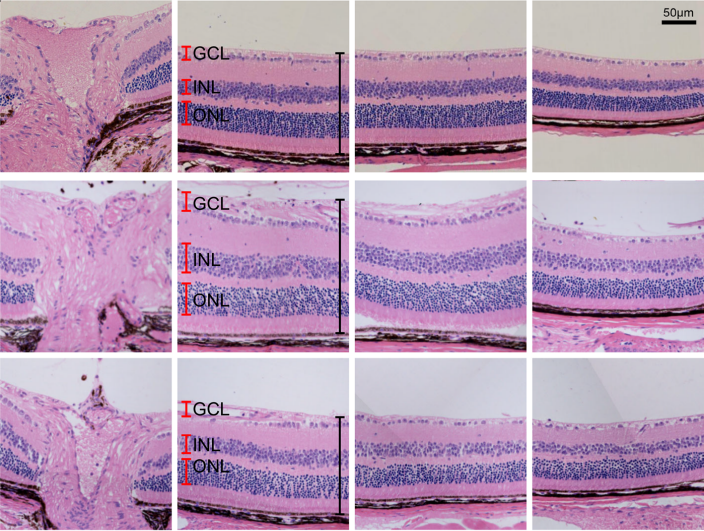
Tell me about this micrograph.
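These are cross sections of the retina. Near the optic disc, the pale pink fibres of the nerve head interrupt the layers. Everywhere else the retina is stacked in bands: a thin, sparse row of purple nuclei on the inner side, a denser middle band of nuclei, and a thick, tightly packed band of small dark nuclei on the outer side.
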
